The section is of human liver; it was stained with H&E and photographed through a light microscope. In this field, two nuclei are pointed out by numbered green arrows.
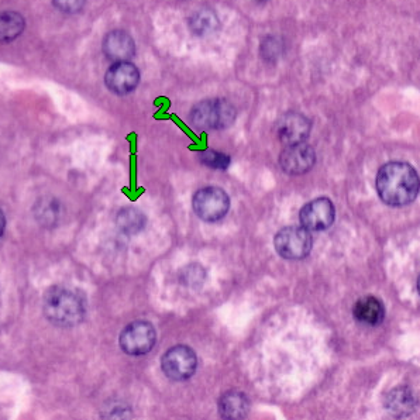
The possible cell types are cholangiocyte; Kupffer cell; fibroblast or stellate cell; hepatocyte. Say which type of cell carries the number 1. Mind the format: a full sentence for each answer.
Heads up, the cell numbered 1 is a hepatocyte.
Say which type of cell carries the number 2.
That cell with number 2 is a fibroblast or stellate cell.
